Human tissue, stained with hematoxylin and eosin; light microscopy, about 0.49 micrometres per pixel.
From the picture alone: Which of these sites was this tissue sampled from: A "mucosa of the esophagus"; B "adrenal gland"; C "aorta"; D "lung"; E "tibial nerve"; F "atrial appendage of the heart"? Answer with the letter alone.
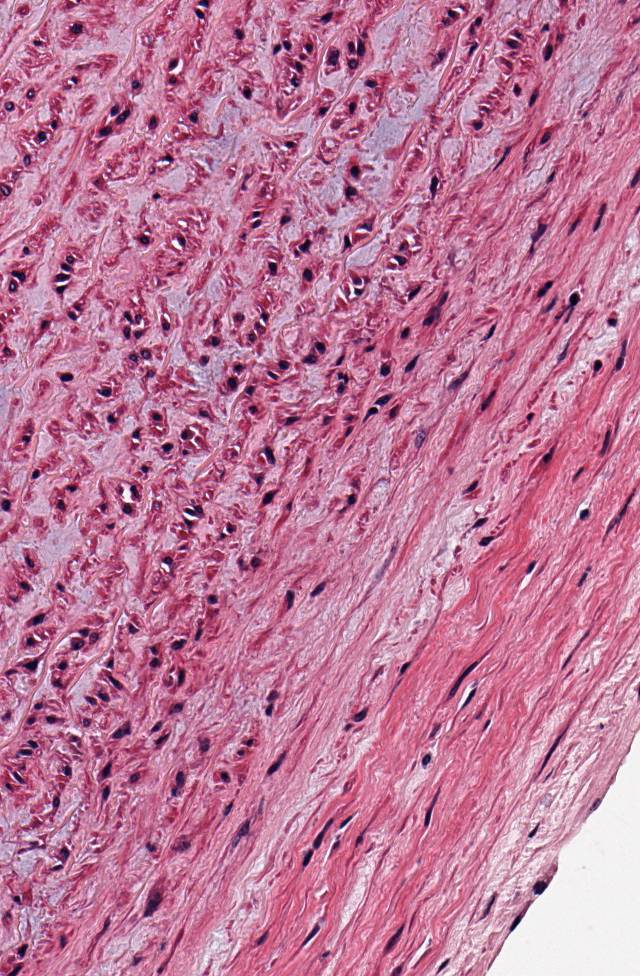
C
